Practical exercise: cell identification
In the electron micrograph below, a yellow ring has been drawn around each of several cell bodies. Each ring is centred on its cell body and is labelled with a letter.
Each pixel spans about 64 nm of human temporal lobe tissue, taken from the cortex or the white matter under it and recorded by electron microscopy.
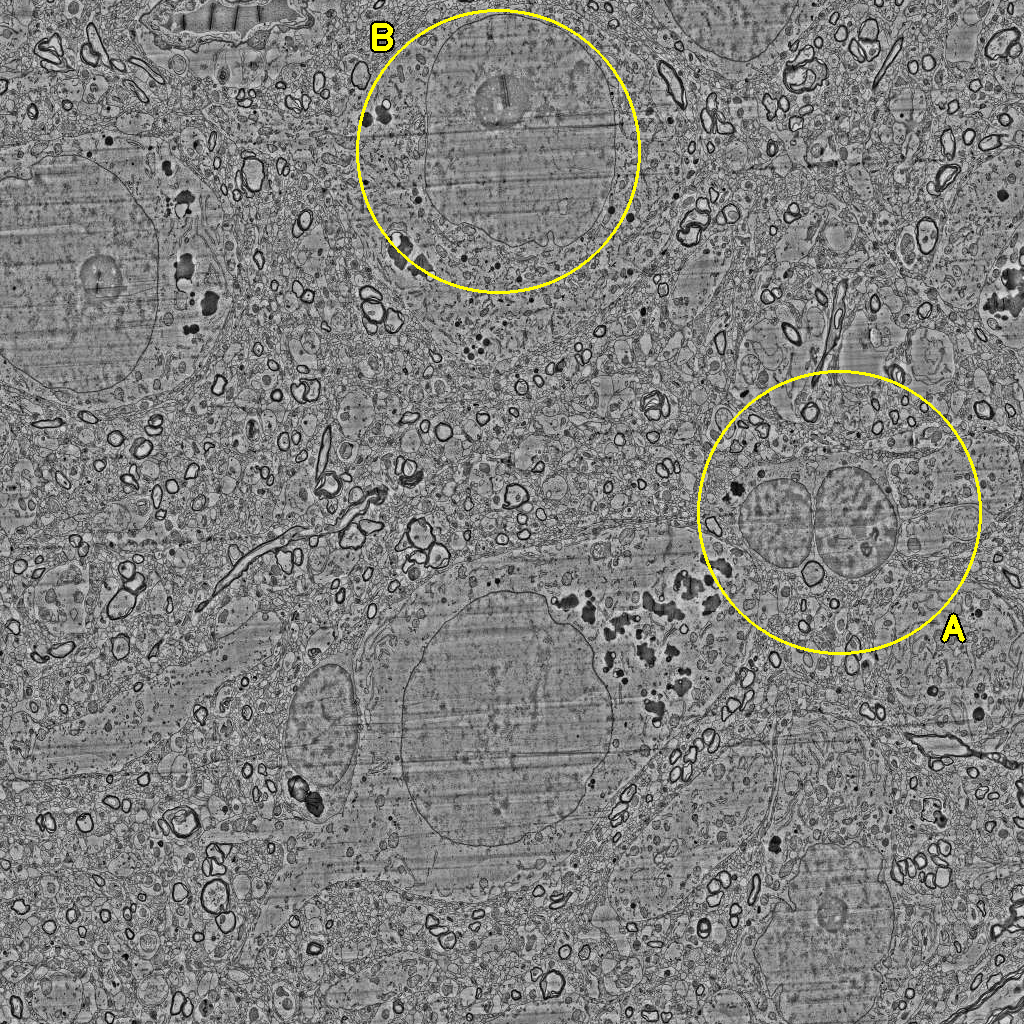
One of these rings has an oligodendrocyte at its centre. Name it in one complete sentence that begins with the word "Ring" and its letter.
Ring A has that cell at its centre.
